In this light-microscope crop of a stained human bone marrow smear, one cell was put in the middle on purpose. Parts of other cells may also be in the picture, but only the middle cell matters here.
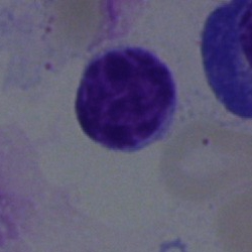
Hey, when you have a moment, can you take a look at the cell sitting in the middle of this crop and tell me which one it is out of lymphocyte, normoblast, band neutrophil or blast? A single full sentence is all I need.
The cell marked by its central position in the crop is a lymphocyte.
